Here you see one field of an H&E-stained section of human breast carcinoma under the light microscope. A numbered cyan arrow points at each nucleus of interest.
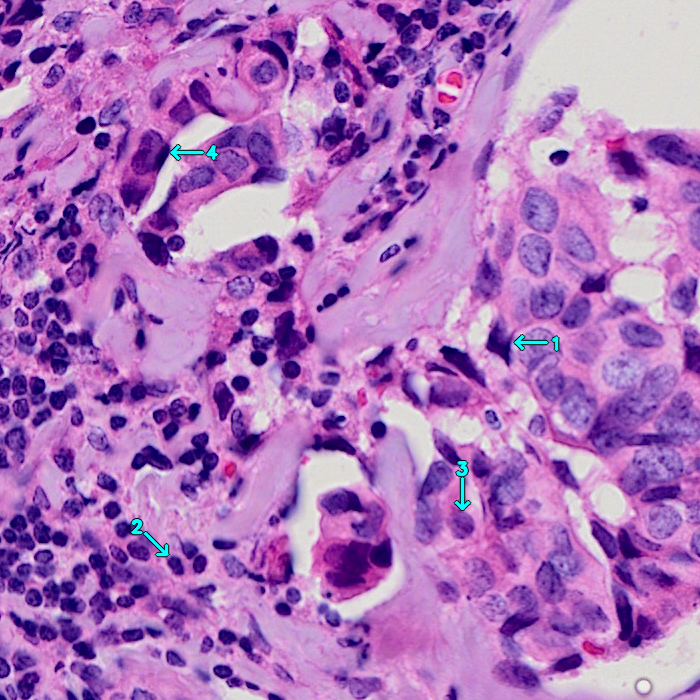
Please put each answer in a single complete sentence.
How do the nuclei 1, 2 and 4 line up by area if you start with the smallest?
From smallest to largest, the order is 2, 1, 4.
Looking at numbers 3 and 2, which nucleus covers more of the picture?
At about 2 times the area of nucleus 2, nucleus 3 is the larger of the two.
